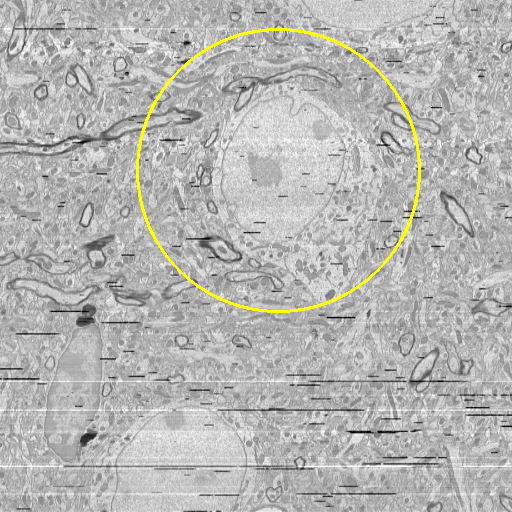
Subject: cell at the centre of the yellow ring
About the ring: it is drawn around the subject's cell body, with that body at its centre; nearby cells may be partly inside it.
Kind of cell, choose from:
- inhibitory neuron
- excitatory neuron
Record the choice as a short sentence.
The subject cell is an inhibitory neuron.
